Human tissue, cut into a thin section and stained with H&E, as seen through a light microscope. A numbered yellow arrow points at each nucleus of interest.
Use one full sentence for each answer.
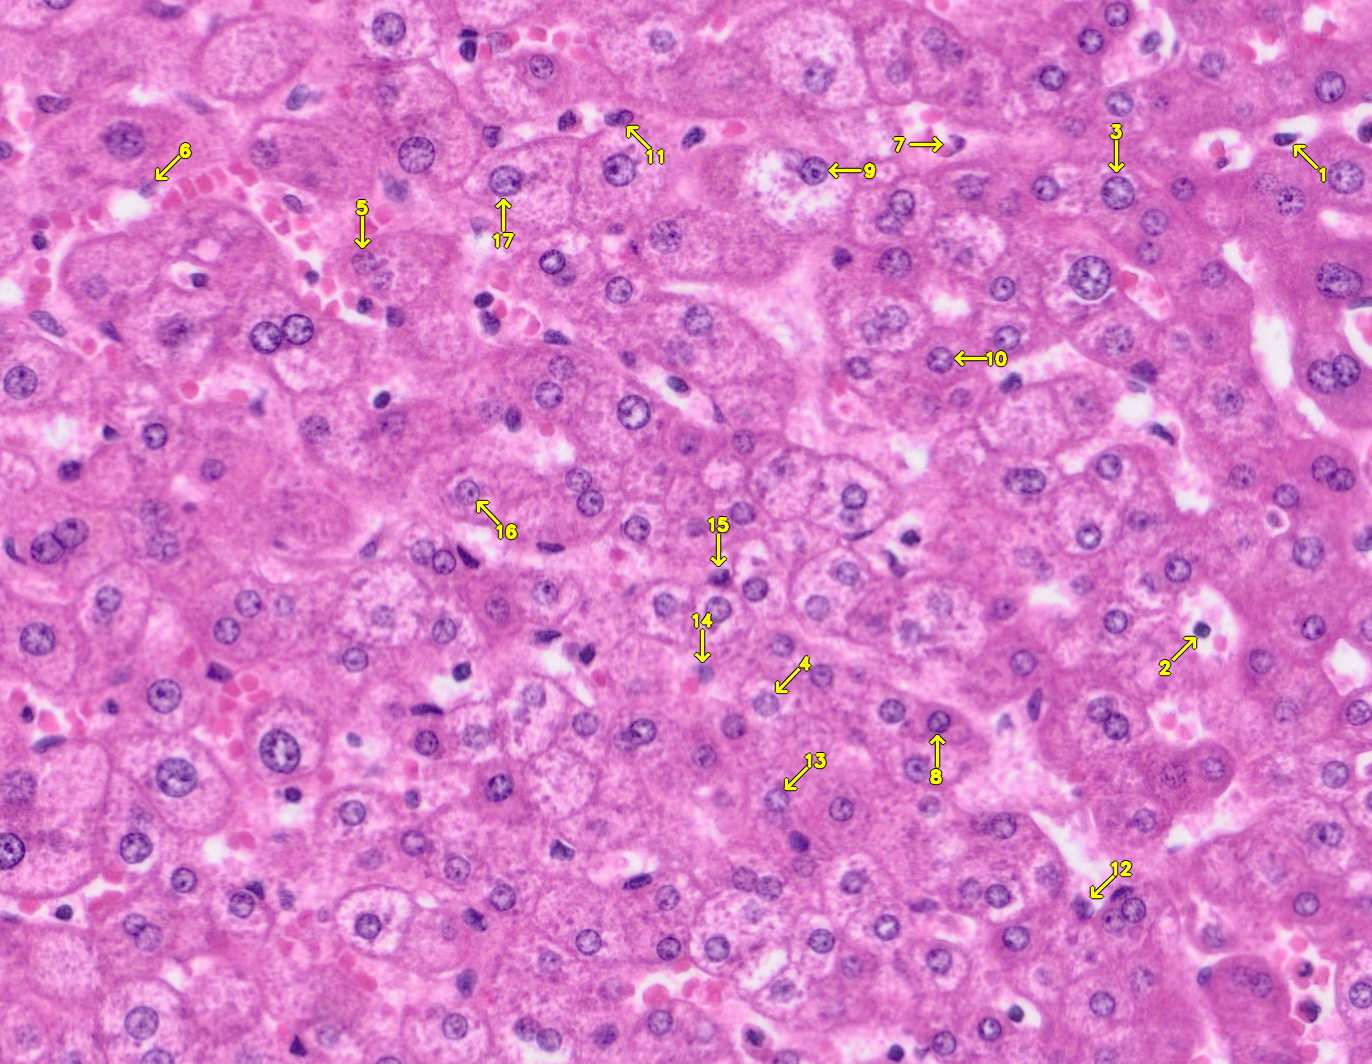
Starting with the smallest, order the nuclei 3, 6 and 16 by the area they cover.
By area, going up from the smallest, they rank 6, 16, 3.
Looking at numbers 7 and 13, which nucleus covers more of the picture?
Of the two, number 13 is bigger and takes up about 1.5 times the area of number 7.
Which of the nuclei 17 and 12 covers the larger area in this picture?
Number 17 is larger; its area is about 2 times that of number 12.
